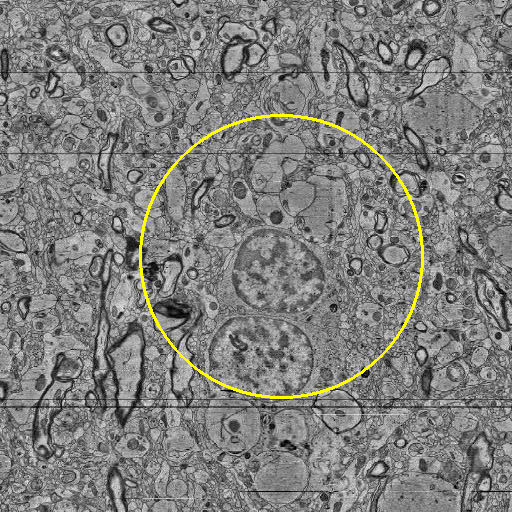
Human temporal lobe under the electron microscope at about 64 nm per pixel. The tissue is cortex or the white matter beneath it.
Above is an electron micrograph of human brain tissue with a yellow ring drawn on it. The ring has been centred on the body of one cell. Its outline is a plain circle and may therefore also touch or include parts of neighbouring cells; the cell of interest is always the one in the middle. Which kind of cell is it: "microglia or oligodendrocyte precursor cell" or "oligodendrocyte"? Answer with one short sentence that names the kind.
The ring's central cell body is that of an oligodendrocyte.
